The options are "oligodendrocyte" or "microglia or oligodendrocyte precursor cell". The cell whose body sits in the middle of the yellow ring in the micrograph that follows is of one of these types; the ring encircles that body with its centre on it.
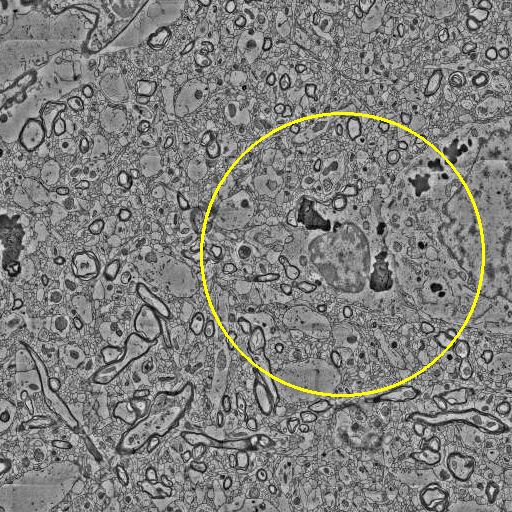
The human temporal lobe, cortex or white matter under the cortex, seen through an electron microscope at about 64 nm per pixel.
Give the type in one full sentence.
Going by the micrograph, the cell centred in the yellow ring is an oligodendrocyte.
